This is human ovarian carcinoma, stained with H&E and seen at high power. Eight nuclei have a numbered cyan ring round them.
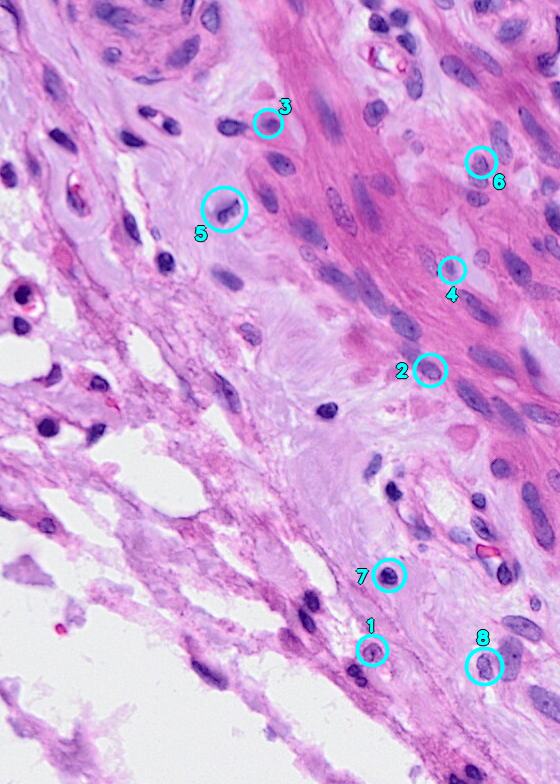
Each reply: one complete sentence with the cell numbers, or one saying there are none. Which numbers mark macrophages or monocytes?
Cells 1 and 8 are macrophages or monocytes by cell type.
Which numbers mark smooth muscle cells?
Cells 2, 3, 4 and 6 are classified as smooth muscle cells.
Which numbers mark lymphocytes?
The one cell that is a lymphocyte is cell 7, and no other.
